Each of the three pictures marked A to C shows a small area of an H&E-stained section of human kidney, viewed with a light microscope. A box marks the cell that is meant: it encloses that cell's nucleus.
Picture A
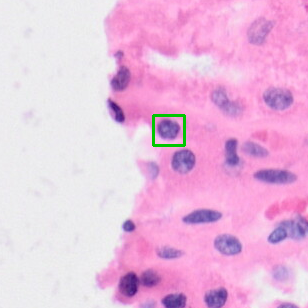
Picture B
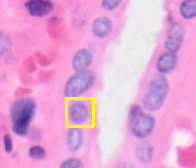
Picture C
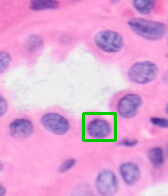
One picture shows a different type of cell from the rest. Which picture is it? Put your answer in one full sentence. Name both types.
Picture B is the odd one out: it shows a collecting duct cell, while the others show “loop of Henle or distal tubule cells”.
